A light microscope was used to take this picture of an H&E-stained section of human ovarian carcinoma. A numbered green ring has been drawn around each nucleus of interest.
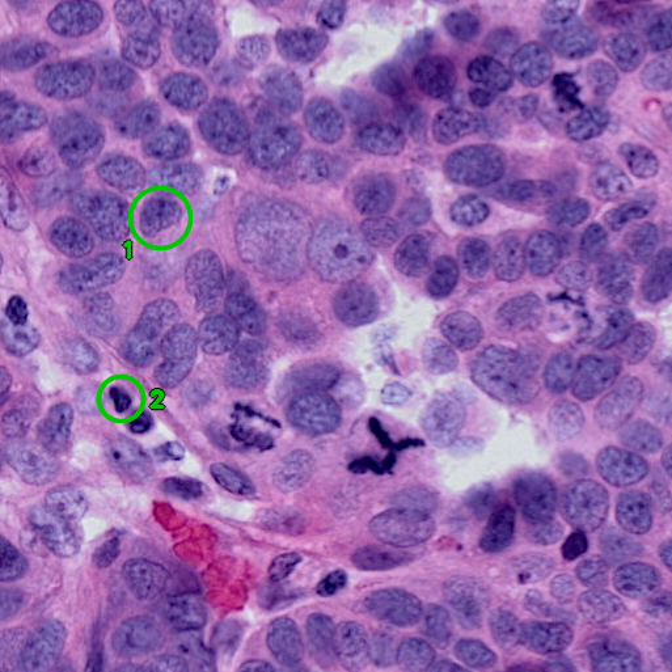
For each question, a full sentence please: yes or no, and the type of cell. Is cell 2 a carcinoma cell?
No, the cell referred to as 2 is a lymphocyte, not a carcinoma cell.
